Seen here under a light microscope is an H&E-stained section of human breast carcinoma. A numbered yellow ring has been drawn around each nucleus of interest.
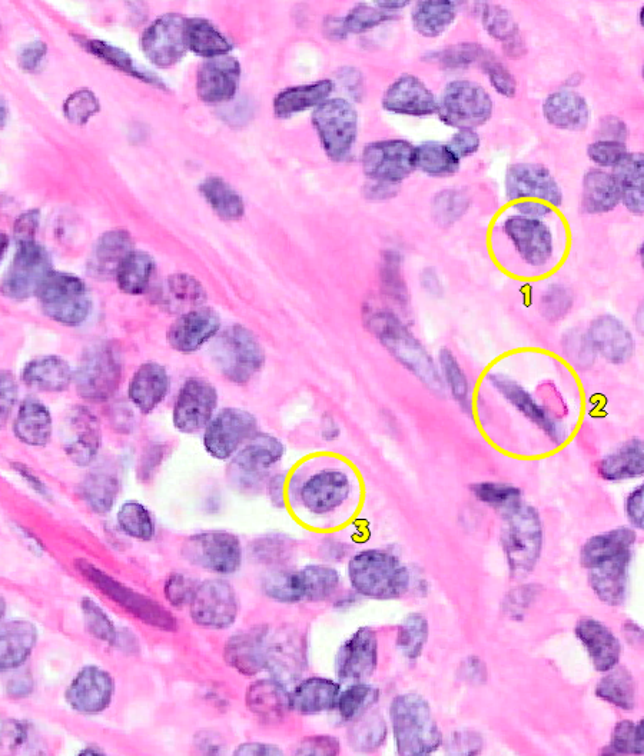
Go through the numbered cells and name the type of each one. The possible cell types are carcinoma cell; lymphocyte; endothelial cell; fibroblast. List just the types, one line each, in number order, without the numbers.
carcinoma cell
endothelial cell
carcinoma cell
